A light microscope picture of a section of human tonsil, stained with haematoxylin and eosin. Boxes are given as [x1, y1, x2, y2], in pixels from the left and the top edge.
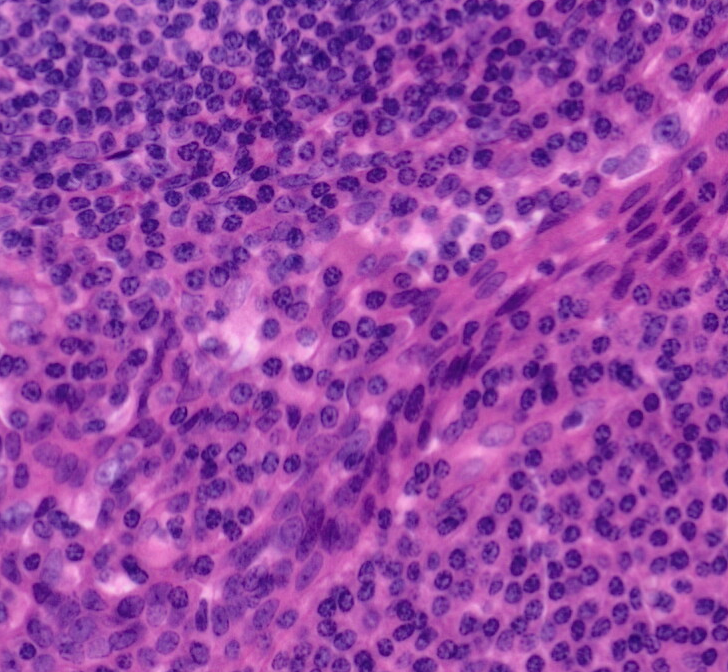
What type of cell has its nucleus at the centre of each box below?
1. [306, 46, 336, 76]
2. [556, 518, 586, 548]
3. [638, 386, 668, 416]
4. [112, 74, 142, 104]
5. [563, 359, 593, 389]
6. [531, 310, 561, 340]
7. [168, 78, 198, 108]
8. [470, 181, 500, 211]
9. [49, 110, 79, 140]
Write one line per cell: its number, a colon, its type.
1: small lymphocyte
2: plasma cell
3: plasma cell
4: small lymphocyte
5: plasma cell
6: plasma cell
7: small lymphocyte
8: plasma cell
9: small lymphocyte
